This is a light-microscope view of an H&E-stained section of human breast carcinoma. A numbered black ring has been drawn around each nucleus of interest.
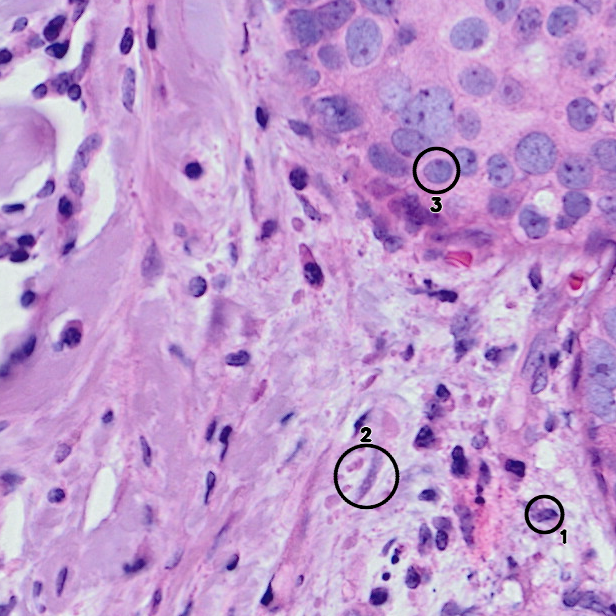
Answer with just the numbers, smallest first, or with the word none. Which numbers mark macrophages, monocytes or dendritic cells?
1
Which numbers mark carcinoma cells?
3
